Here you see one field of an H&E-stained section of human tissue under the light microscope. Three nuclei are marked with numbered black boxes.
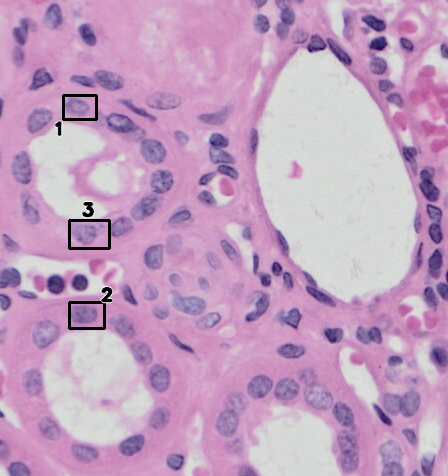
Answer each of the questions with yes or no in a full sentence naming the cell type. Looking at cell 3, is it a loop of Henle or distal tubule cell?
No, the cell denoted 3 is a collecting duct cell rather than a loop of Henle or distal tubule cell.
